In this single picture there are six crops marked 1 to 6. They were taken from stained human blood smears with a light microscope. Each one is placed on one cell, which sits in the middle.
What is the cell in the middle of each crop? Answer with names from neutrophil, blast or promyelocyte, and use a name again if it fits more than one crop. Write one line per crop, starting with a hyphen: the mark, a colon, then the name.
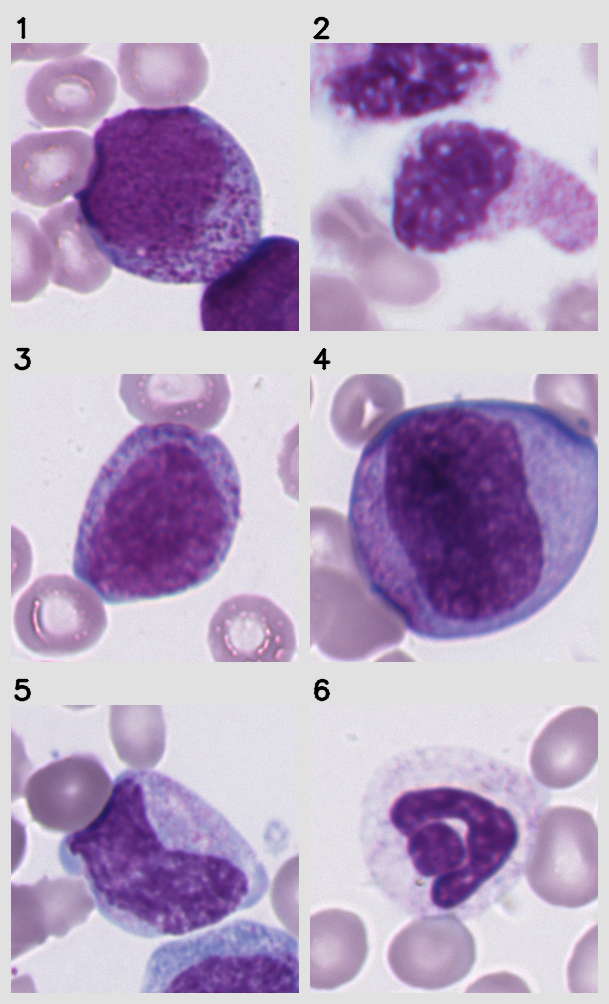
- 1: promyelocyte
- 2: neutrophil
- 3: promyelocyte
- 4: promyelocyte
- 5: promyelocyte
- 6: neutrophil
